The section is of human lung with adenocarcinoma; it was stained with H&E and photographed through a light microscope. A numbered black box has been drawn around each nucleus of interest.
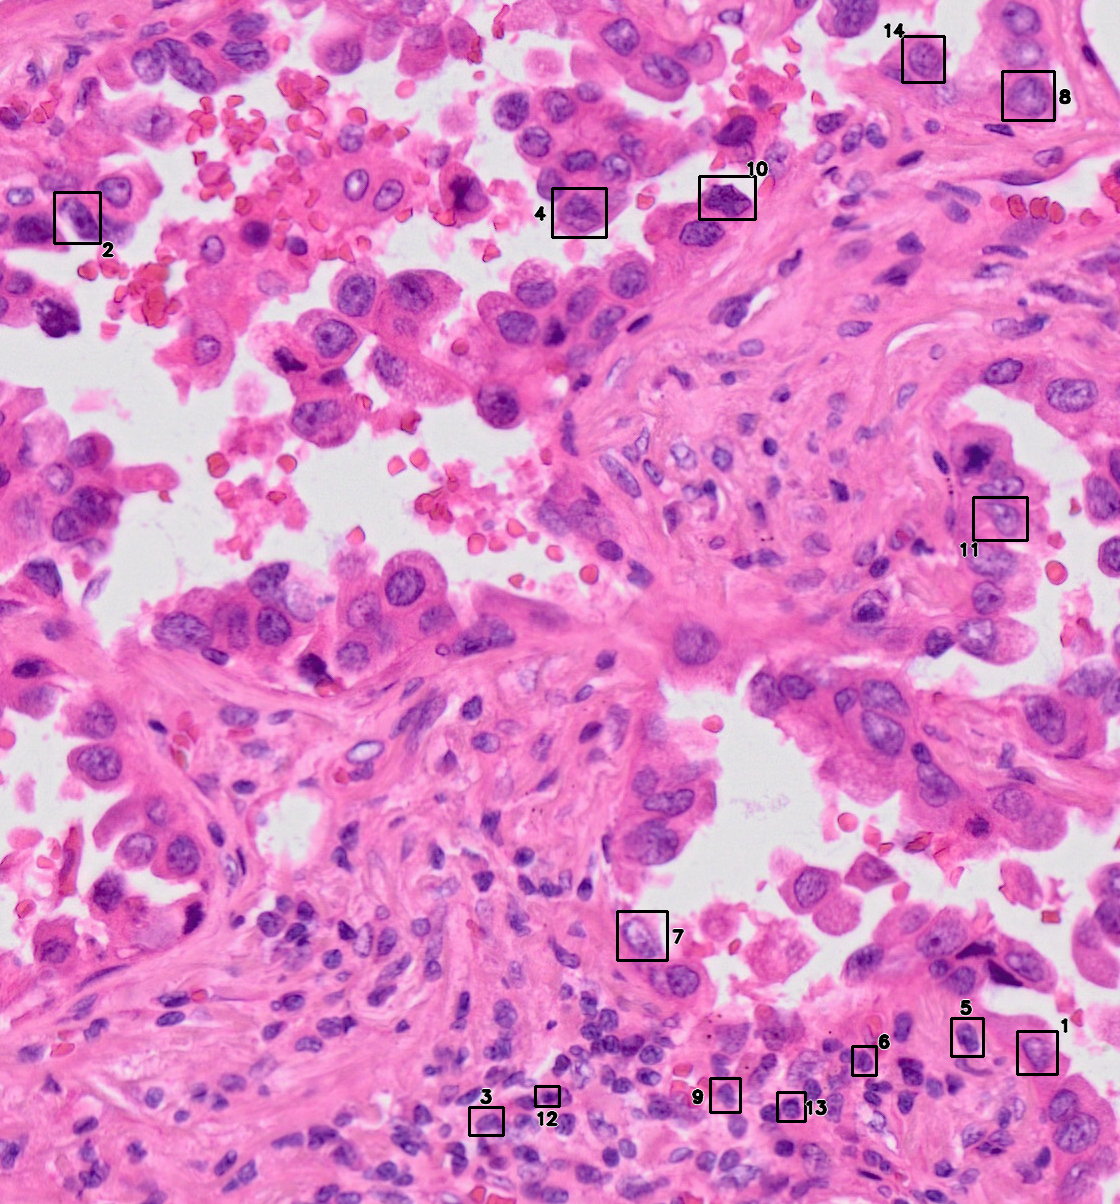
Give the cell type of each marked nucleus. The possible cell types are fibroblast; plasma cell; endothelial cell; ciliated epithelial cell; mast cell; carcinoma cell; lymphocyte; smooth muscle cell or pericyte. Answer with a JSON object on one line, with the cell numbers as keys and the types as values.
{"1": "carcinoma cell", "2": "carcinoma cell", "3": "lymphocyte", "4": "carcinoma cell", "5": "lymphocyte", "6": "lymphocyte", "7": "carcinoma cell", "8": "carcinoma cell", "9": "lymphocyte", "10": "carcinoma cell", "11": "carcinoma cell", "12": "lymphocyte", "13": "lymphocyte", "14": "carcinoma cell"}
